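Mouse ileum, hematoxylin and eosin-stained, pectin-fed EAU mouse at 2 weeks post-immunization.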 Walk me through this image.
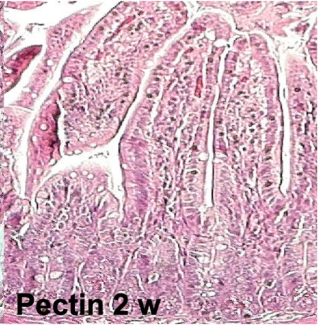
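This is a higher-magnification view of intestinal villi in a pink and purple stained section. Several long, slender villi run roughly parallel, separated by narrow clear spaces. Each villus is lined by a tall columnar epithelium with scattered pale, rounded cells. The cores of the villi are pink connective tissue. Toward the bottom the villi merge into the denser mucosa at their bases.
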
